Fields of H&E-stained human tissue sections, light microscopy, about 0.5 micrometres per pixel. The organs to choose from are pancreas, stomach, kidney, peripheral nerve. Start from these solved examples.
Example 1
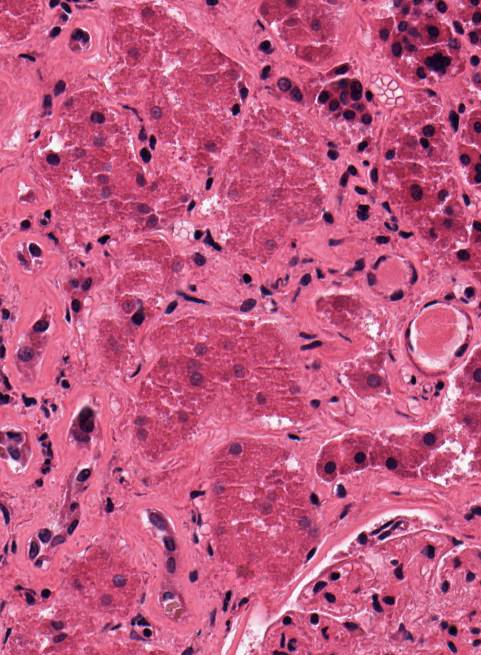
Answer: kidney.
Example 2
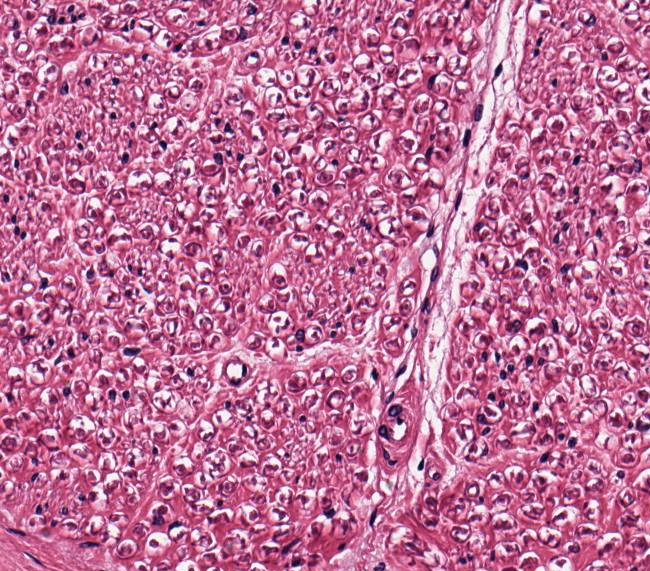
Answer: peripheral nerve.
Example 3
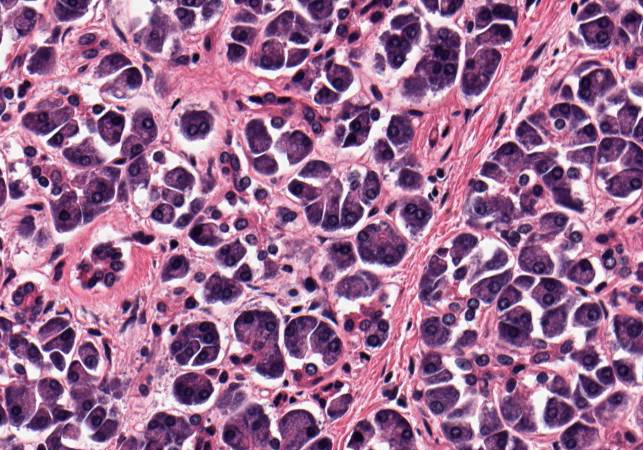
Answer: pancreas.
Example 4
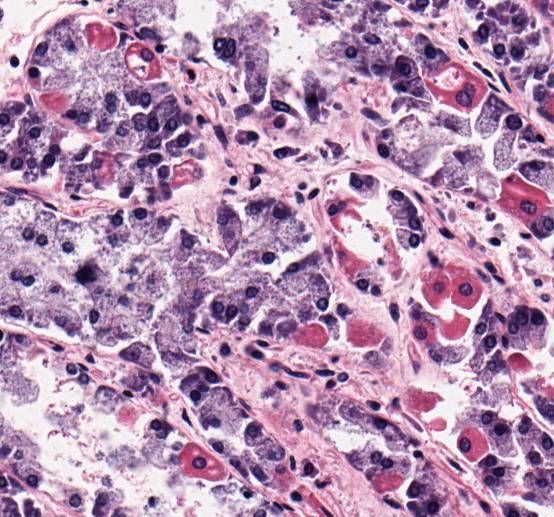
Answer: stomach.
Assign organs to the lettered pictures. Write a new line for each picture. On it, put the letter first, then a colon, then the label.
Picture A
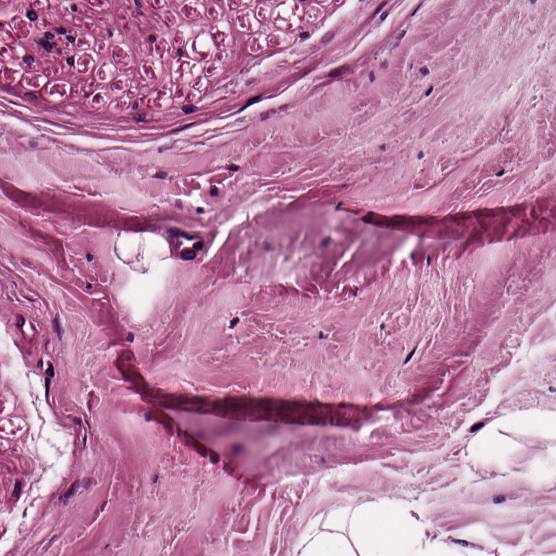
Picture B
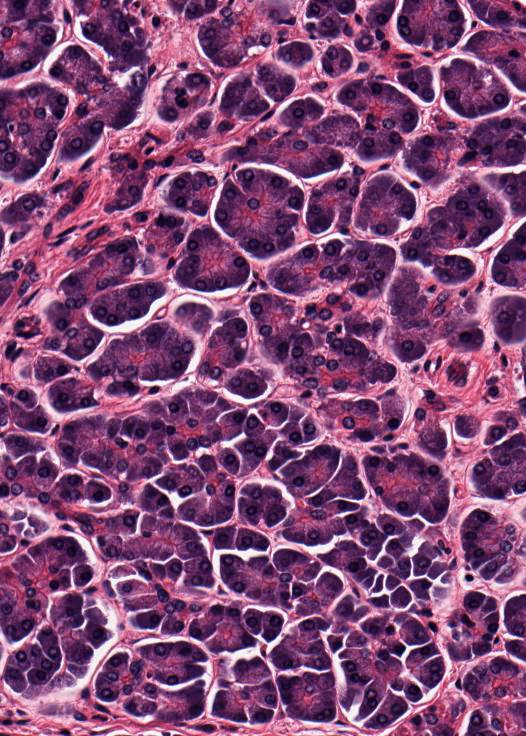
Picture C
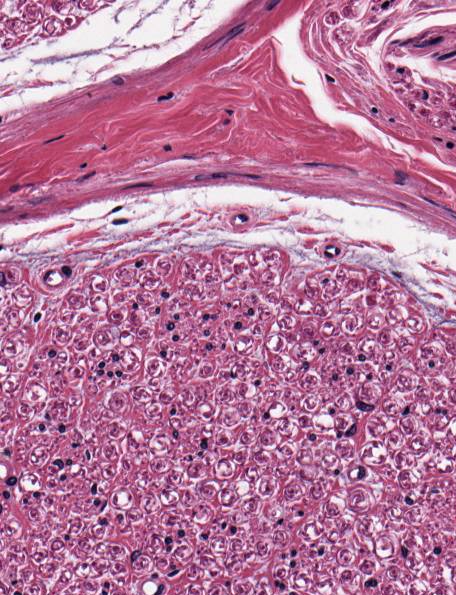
A: peripheral nerve.
B: pancreas.
C: peripheral nerve.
